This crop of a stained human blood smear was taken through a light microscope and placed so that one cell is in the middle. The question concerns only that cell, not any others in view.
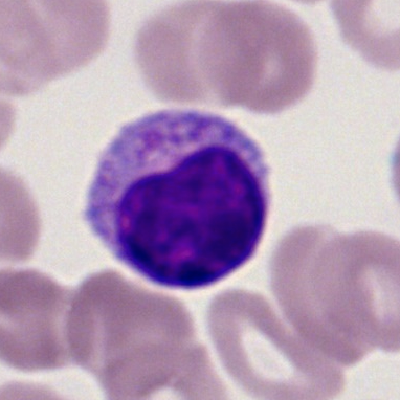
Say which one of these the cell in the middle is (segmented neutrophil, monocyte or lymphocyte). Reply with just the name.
lymphocyte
